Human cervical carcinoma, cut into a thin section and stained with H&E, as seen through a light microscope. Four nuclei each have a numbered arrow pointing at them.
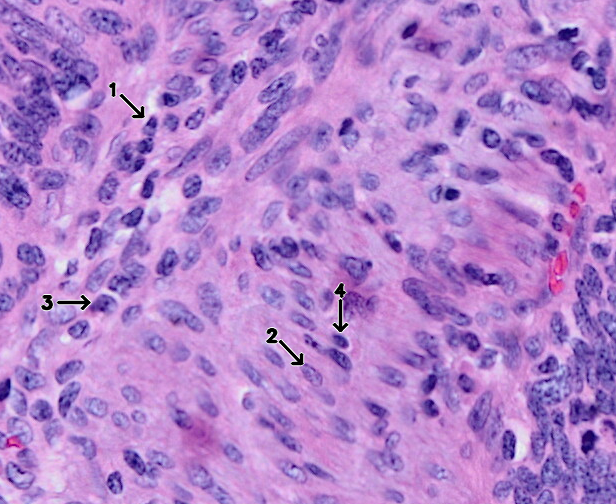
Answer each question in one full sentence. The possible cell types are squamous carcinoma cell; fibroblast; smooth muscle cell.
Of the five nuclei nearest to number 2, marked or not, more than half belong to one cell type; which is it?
Most of the five nuclei nearest to number 2 are those of fibroblasts.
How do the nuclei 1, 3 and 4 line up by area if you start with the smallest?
By area, going up from the smallest, they rank 4, 1, 3.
